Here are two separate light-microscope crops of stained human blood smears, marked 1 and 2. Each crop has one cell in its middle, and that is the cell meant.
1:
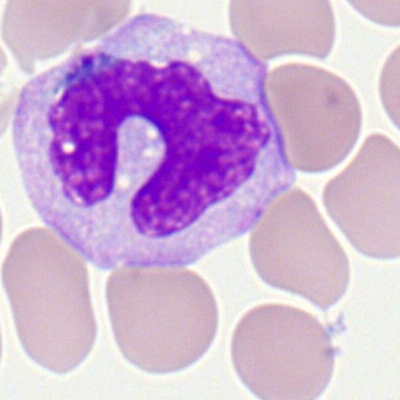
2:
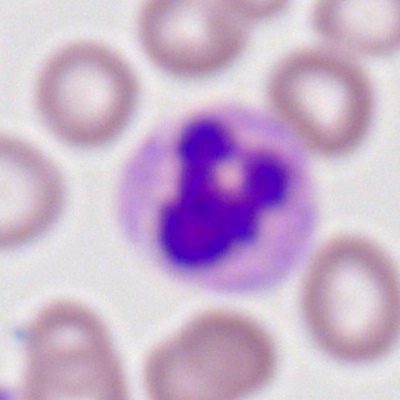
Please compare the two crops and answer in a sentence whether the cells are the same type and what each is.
No, a monocyte is centred in crop 1, and a segmented neutrophil is centred in crop 2.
